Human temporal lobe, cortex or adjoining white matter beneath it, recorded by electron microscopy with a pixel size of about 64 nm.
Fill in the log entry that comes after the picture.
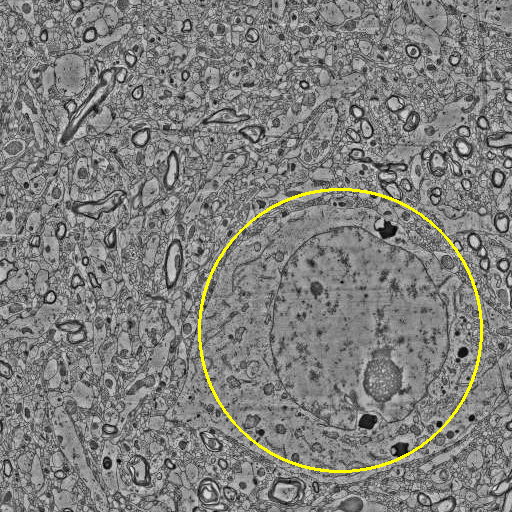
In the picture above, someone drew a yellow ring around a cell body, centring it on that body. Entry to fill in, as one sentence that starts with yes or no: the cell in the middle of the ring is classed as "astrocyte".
No, the cell in the ring's centre in this image is of a different kind.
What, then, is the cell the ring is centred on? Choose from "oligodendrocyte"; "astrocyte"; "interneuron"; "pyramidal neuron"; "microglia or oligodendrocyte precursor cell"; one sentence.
The cell in the ring is a pyramidal neuron instead.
